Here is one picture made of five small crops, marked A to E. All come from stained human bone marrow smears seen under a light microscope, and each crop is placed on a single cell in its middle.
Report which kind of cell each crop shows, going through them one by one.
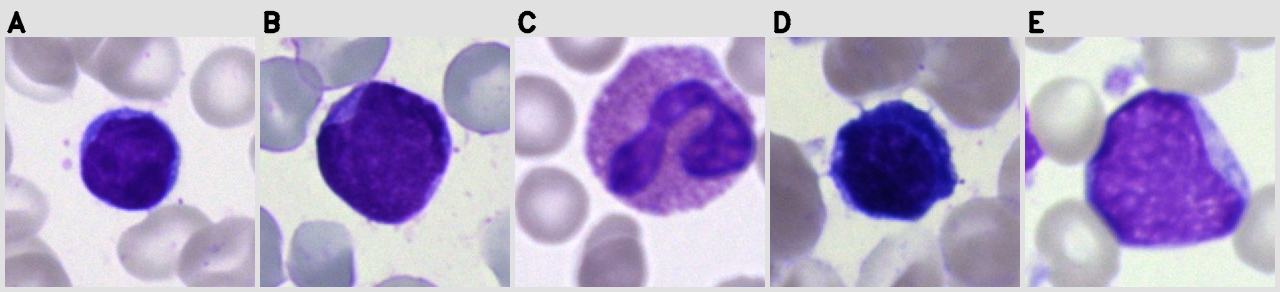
A: lymphocyte
B: blast
C: eosinophil
D: plasma cell
E: blast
